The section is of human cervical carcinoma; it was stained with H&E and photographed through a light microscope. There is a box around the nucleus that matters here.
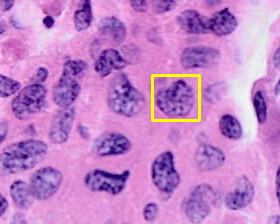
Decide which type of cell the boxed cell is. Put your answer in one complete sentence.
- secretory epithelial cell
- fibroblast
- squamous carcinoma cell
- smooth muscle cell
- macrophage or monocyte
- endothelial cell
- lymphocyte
The cell type represented by the boxed cell is that of a squamous carcinoma cell.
